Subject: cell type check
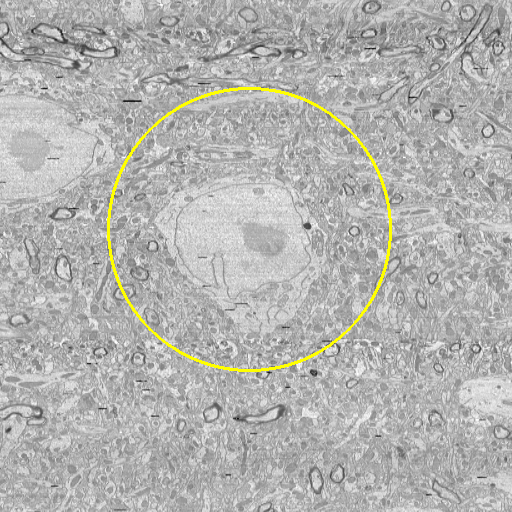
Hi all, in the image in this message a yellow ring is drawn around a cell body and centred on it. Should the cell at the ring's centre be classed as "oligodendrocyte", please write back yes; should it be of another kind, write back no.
no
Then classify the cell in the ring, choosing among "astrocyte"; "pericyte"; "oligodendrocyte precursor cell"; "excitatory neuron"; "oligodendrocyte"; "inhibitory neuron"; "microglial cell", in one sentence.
The cell marked by the ring is an excitatory neuron.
